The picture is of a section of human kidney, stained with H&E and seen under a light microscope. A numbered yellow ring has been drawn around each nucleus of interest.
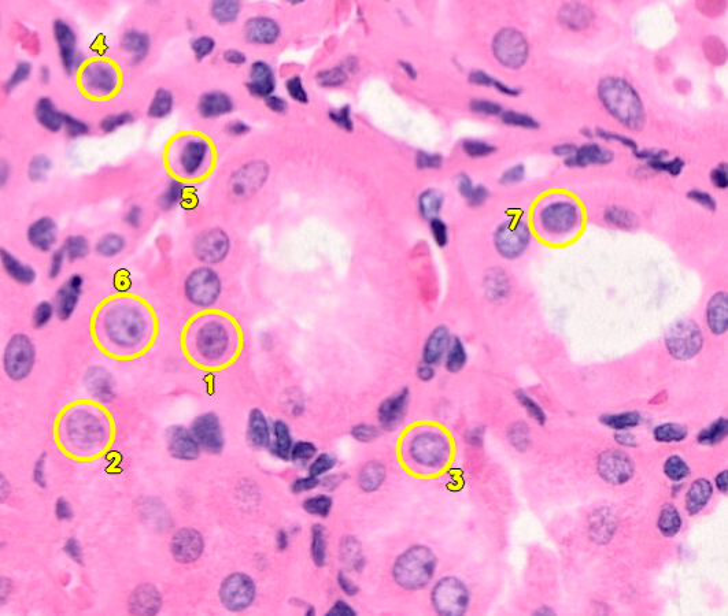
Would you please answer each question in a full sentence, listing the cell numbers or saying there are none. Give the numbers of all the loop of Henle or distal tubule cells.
Only the cell numbered 7 is a loop of Henle or distal tubule cell, and the others are something else.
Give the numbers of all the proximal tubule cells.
In short, the numbered cells 1, 2, 3 and 6 are proximal tubule cells.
